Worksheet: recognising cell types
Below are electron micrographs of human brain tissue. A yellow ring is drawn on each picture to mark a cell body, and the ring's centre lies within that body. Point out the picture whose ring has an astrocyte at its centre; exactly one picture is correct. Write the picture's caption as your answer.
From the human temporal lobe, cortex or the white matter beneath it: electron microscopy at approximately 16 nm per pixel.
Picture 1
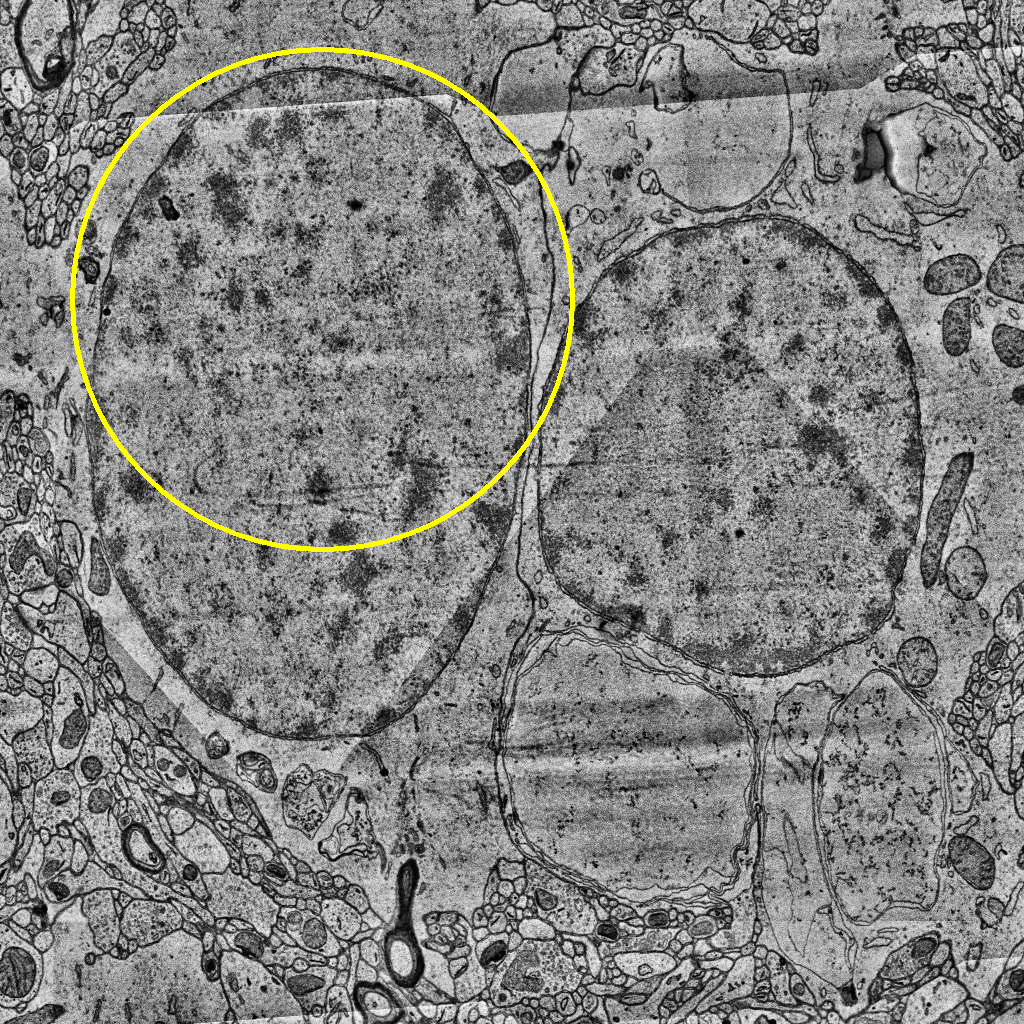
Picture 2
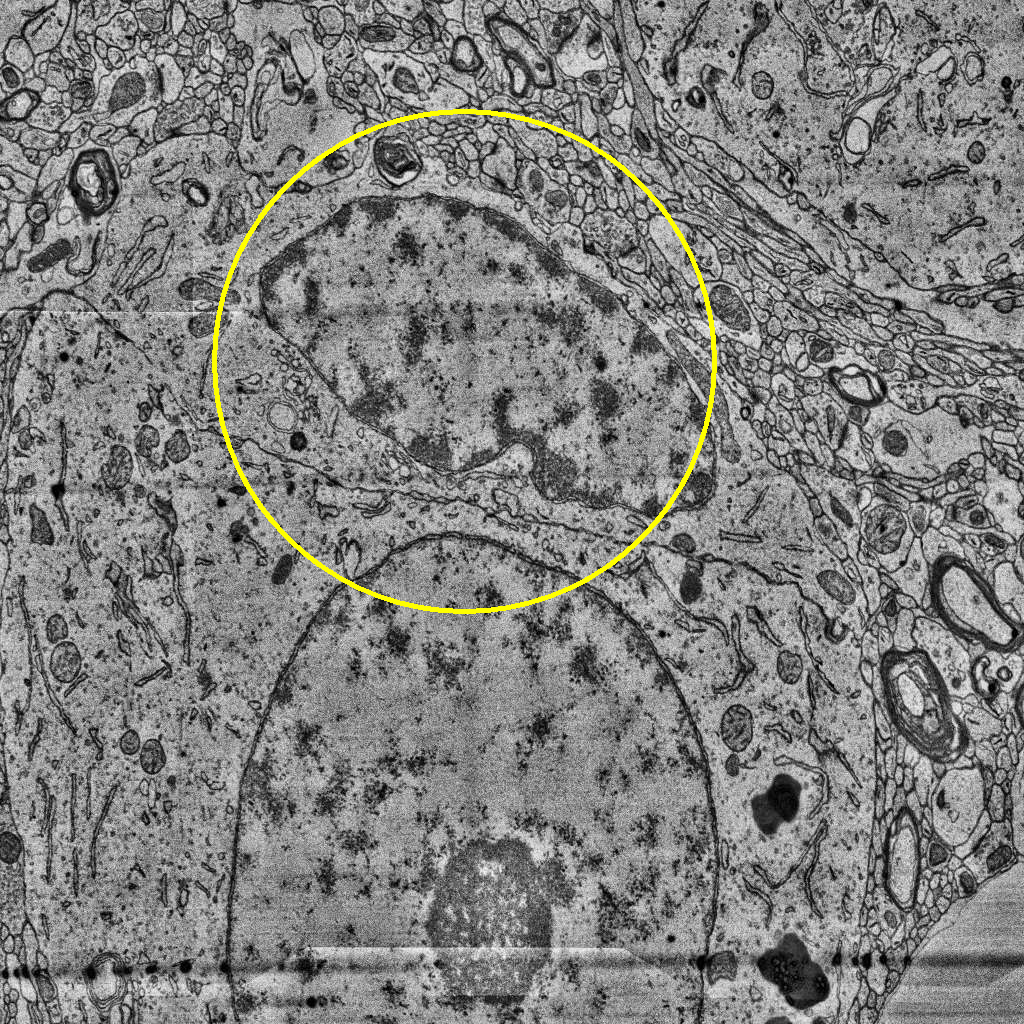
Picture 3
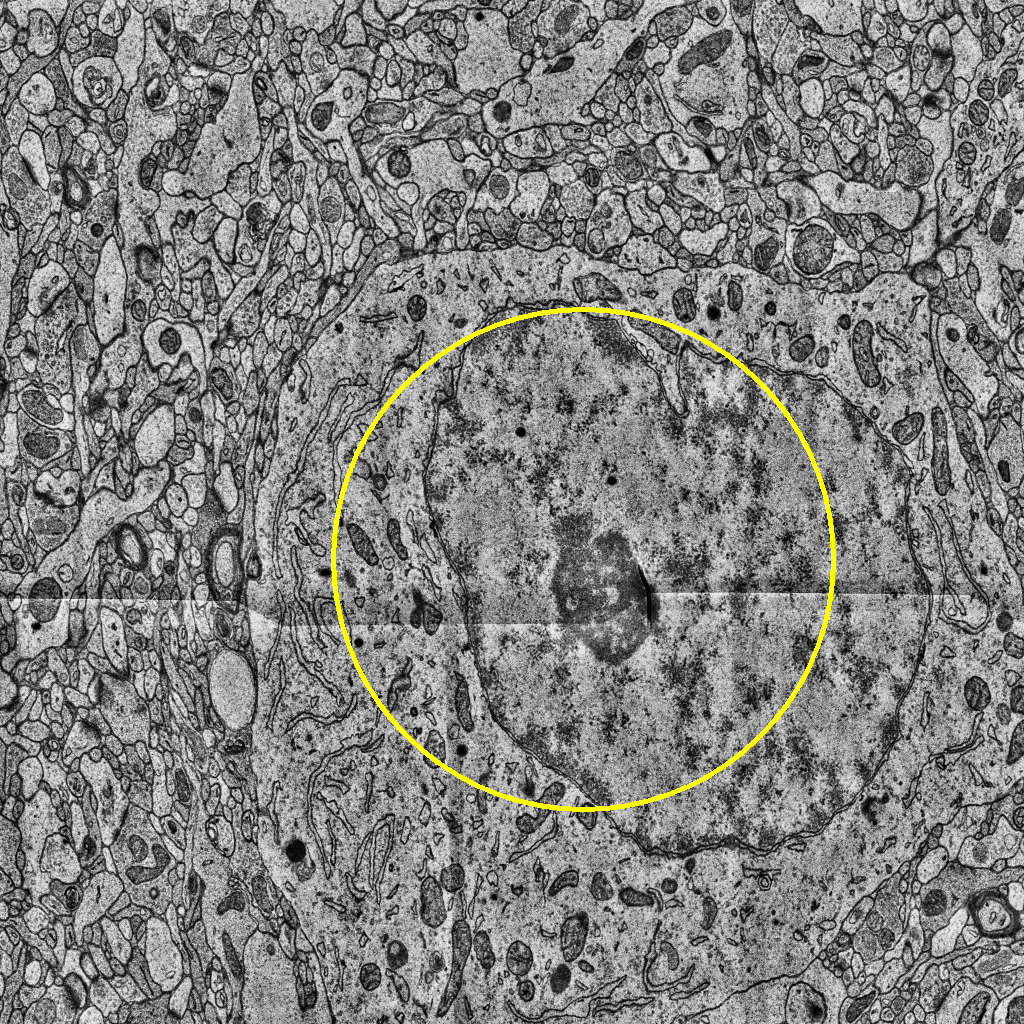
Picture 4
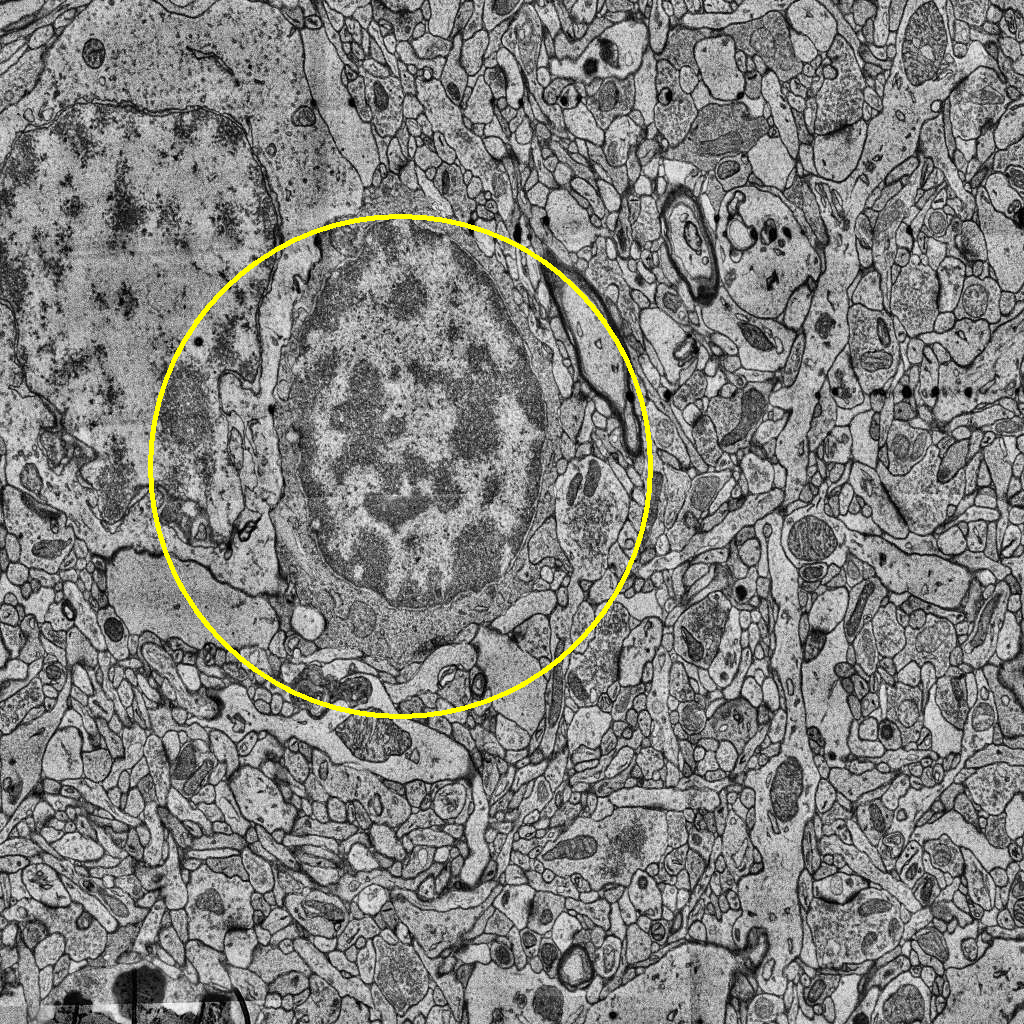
Picture 1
